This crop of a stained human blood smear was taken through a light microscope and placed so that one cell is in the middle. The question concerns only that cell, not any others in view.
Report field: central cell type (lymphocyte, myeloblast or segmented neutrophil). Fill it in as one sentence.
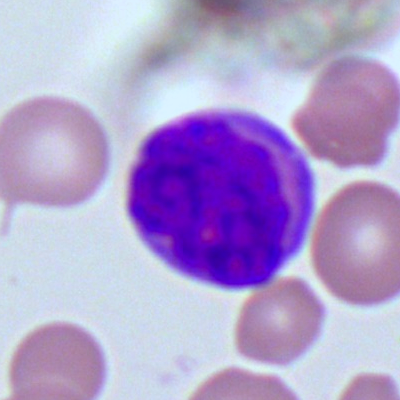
The cell in the exact centre of the crop is a lymphocyte.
